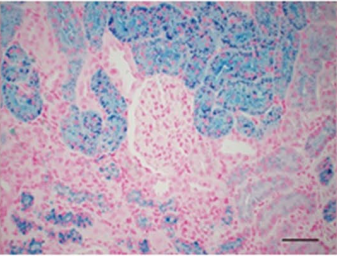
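This is kidney cortex with a glomerulus in the middle, surrounded by tubules on a pale pink counterstain. Many tubular cross-sections are filled with dense, granular blue deposits lying within the lining epithelial cells. The glomerulus itself stays mostly pink, with little blue. The blue-laden tubules cluster in groups, while others nearby remain unstained.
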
